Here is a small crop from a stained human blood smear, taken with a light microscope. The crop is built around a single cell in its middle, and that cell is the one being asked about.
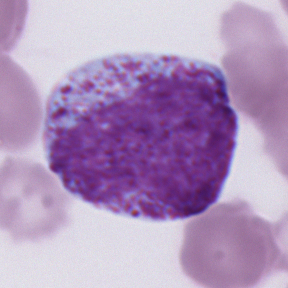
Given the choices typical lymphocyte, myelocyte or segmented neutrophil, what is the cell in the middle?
myelocyte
